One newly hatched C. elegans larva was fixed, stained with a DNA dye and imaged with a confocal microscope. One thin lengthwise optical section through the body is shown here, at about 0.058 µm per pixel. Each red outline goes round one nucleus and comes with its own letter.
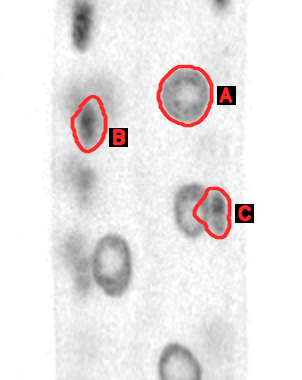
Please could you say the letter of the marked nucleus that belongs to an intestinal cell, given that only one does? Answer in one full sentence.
The one from an intestinal cell is A.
